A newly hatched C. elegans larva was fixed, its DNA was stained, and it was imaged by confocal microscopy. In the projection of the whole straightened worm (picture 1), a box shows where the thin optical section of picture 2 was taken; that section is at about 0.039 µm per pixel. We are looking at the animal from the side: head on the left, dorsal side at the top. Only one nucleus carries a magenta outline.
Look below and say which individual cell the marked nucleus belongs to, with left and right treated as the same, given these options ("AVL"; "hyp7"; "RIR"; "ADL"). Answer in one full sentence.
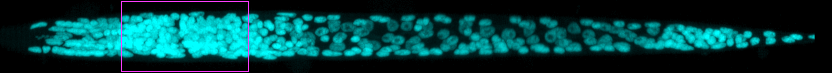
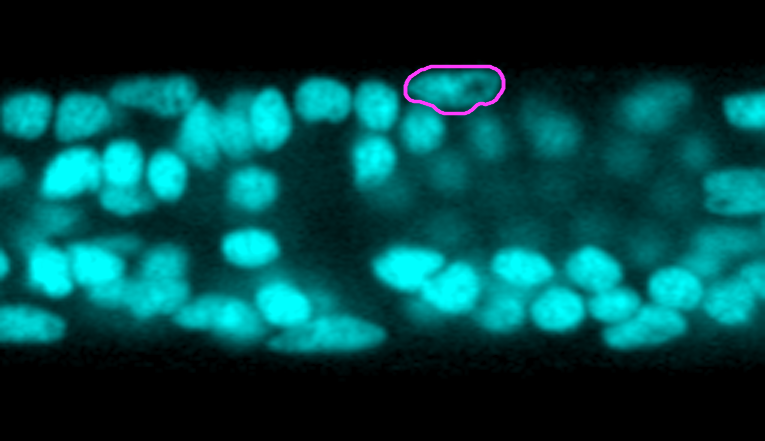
It is the nucleus of hyp7, a hypodermal cell (hyp).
